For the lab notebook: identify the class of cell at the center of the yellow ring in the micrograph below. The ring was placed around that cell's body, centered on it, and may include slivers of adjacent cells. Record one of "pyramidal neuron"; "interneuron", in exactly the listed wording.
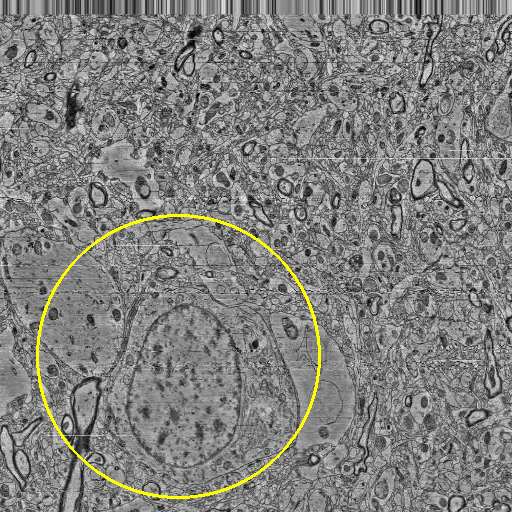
interneuron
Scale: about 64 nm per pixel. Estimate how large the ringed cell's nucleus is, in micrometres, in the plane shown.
Approximately 11 micrometres long and 7 micrometres wide, in this plane.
